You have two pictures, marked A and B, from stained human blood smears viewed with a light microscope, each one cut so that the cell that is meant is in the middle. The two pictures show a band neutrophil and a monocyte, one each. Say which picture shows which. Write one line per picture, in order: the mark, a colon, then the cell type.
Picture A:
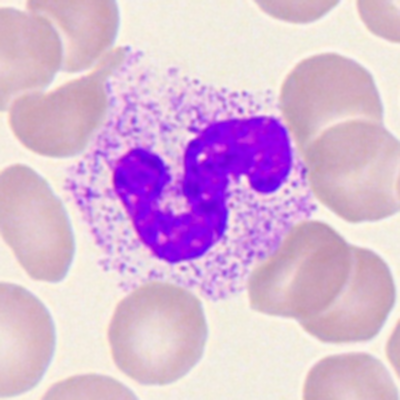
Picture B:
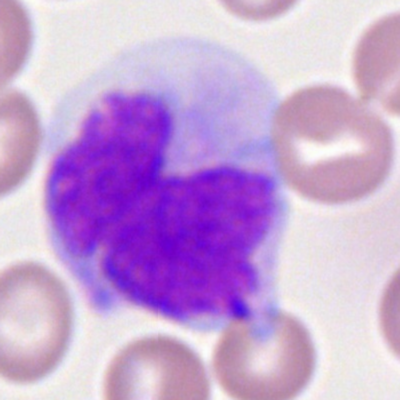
A: band neutrophil
B: monocyte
